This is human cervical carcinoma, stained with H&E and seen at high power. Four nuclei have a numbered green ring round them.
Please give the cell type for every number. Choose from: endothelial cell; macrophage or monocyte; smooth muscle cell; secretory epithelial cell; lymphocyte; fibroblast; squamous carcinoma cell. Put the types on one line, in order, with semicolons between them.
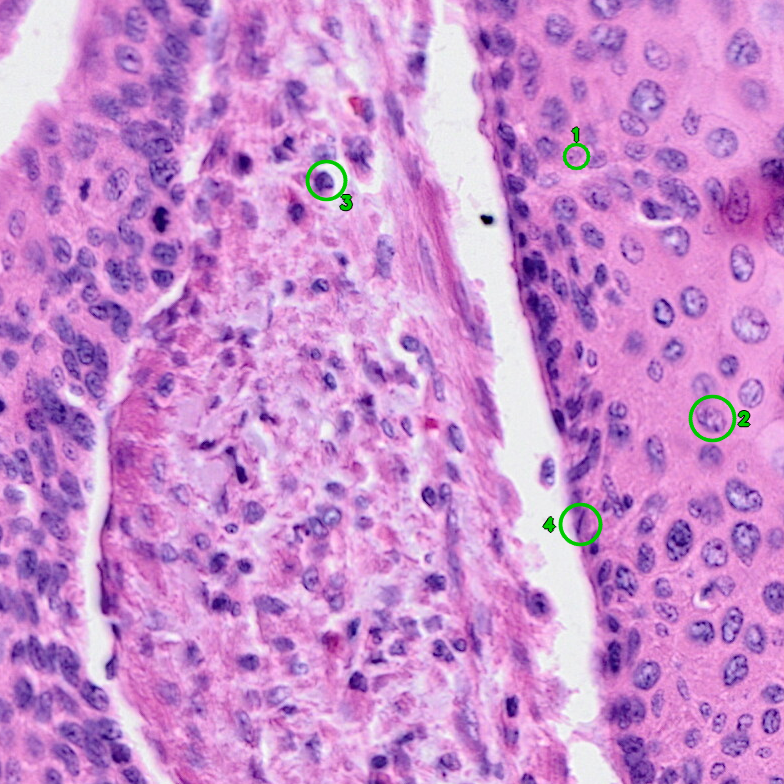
squamous carcinoma cell; squamous carcinoma cell; lymphocyte; squamous carcinoma cell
